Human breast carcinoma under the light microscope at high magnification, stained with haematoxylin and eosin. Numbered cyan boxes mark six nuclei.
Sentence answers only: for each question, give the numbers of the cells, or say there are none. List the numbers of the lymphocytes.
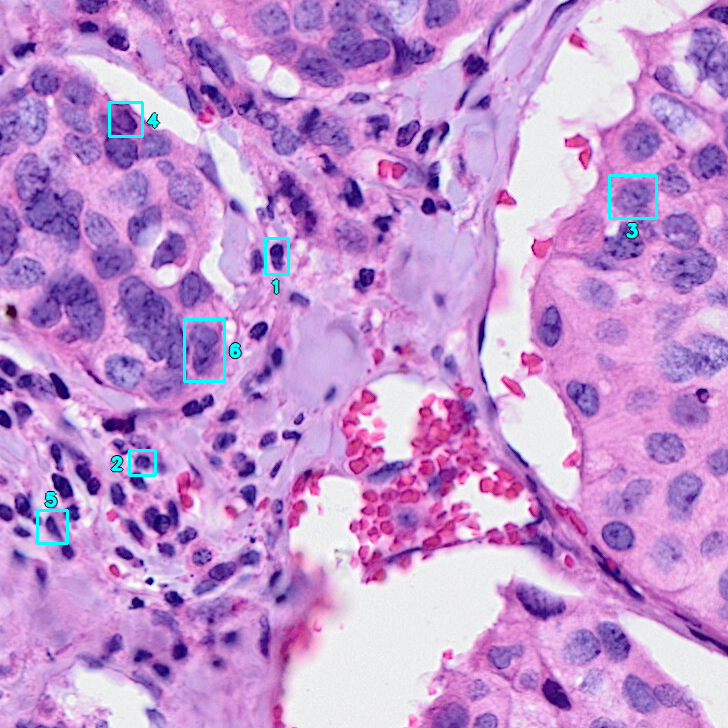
Cells 1, 2 and 5 in the section are typed as lymphocytes.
